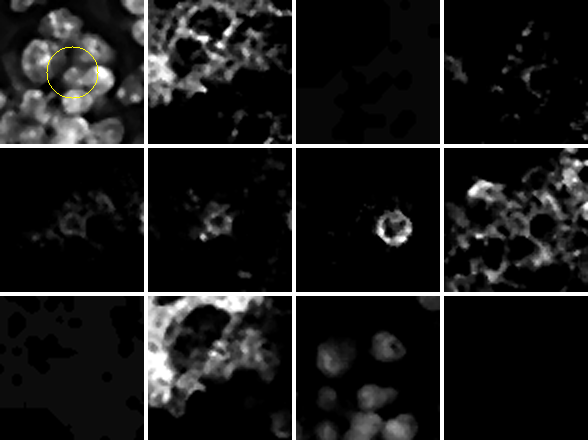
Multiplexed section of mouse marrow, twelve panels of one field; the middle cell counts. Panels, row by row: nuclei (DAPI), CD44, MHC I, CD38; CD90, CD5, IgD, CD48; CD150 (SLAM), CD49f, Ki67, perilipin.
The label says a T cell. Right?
Right.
